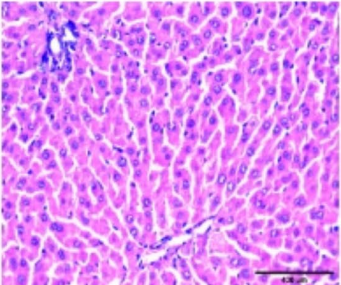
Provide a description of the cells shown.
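Liver parenchyma shows cords of polygonal hepatocytes radiating through the field, separated by narrow sinusoids. Thin, elongated nuclei line the sinusoids. A small portal structure appears near the top left, and a vascular space lies near the lower center. The plates are regular, with no clusters of dark inflammatory cells.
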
